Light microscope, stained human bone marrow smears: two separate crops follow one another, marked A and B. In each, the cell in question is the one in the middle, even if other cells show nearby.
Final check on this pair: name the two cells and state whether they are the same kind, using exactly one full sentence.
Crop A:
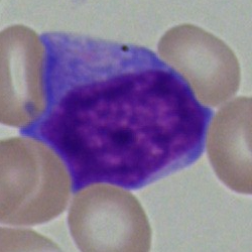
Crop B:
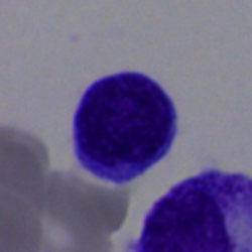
No, a blast is in crop A, while a lymphocyte is in crop B.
